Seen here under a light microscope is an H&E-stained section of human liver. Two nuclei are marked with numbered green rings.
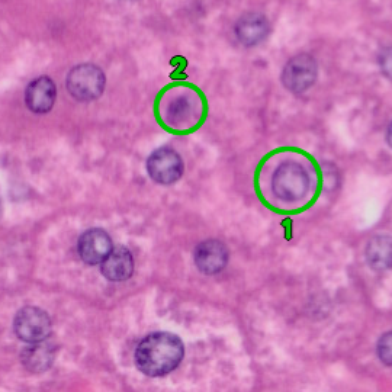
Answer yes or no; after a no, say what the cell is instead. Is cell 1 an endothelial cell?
No, it is a hepatocyte.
